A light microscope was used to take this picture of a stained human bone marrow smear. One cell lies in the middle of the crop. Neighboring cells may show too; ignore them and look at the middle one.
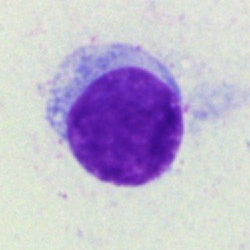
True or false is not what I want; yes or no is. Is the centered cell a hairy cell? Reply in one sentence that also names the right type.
Yes, the cell at the middle of the frame is a hairy cell.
